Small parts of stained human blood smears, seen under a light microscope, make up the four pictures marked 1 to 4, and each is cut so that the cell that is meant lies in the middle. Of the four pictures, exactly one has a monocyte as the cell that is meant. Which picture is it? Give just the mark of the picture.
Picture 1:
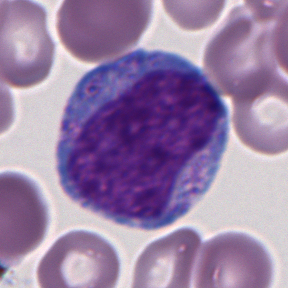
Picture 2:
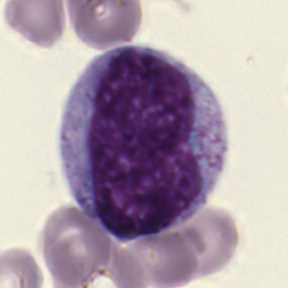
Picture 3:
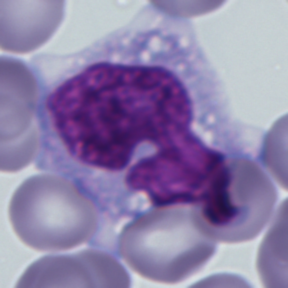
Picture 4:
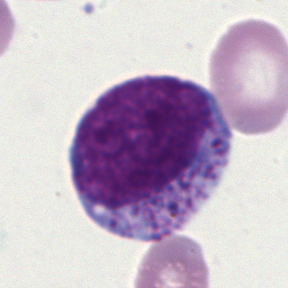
3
